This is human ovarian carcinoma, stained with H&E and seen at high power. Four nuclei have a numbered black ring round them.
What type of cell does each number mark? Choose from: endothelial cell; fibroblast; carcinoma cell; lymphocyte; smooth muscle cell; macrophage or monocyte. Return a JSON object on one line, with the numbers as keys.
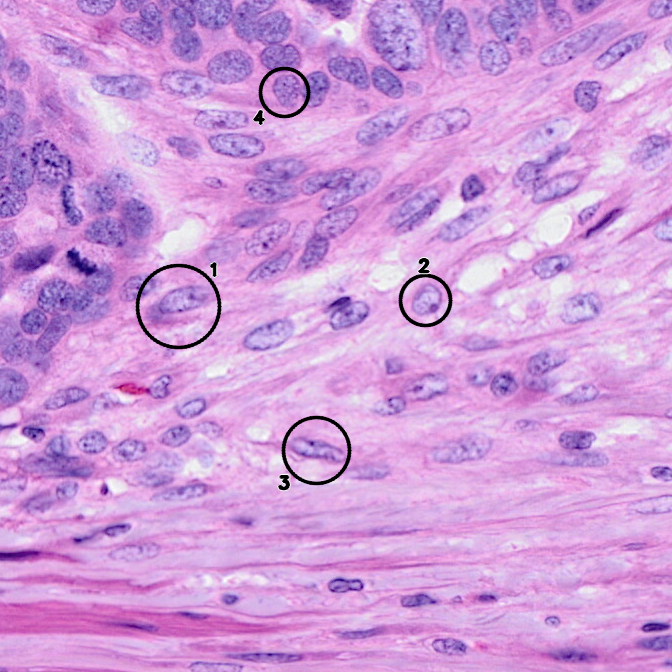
{"1": "fibroblast", "2": "fibroblast", "3": "fibroblast", "4": "carcinoma cell"}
